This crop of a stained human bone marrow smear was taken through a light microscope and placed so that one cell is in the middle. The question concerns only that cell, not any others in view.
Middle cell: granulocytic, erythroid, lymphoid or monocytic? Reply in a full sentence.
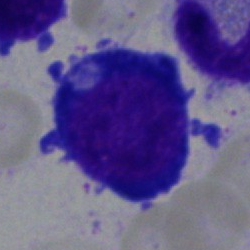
The cell at the center is a representative of the erythroid lineage.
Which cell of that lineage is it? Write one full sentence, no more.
The cell of interest, located centrally, is a proerythroblast.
